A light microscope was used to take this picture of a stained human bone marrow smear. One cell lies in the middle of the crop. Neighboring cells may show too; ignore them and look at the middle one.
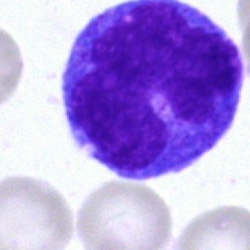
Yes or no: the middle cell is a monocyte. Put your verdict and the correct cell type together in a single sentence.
Yes, that is right: the middle cell is a monocyte.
